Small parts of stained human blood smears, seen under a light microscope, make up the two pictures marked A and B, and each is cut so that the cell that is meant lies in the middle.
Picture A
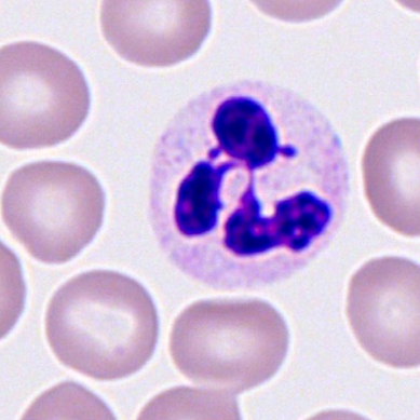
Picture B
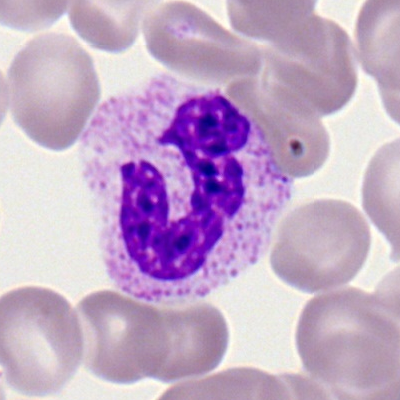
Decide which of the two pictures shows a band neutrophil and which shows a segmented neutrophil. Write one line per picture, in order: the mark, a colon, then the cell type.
A: segmented neutrophil
B: band neutrophil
